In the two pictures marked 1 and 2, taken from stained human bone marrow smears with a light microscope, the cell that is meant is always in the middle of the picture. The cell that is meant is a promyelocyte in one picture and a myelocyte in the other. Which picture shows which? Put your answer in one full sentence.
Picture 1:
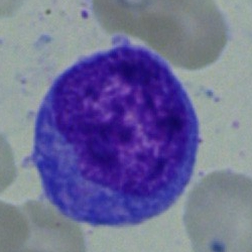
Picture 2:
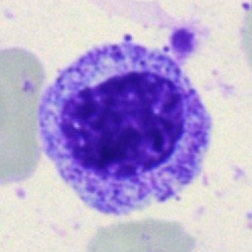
The cell in picture 1 is a promyelocyte, and the one in picture 2 is a myelocyte.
